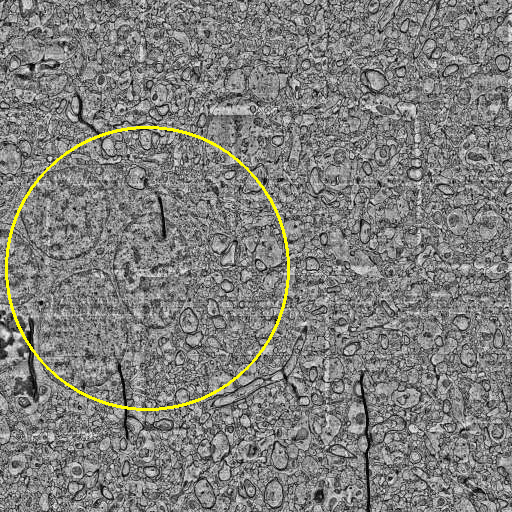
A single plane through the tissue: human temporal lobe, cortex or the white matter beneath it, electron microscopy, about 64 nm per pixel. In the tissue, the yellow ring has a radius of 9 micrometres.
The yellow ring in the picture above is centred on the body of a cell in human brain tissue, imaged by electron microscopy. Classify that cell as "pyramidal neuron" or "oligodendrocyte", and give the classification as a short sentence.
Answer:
The cell in the middle of the ring is an oligodendrocyte.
